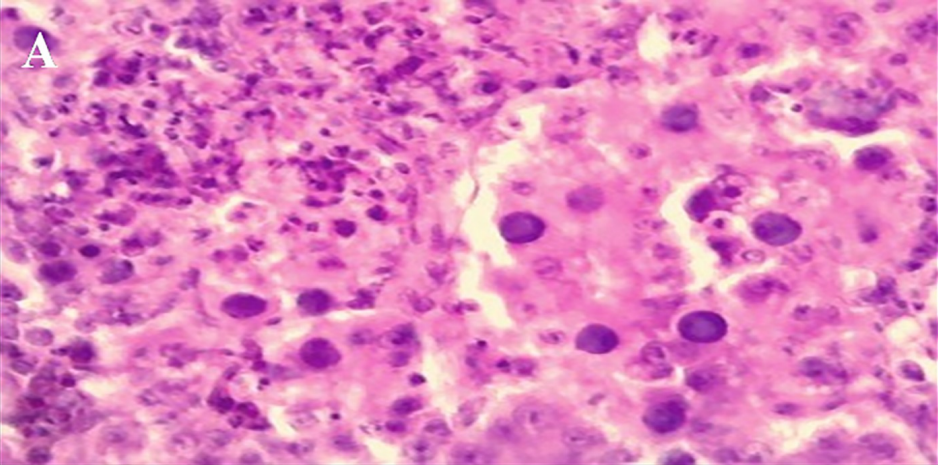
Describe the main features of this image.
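Liver in H&E, with hepatocytes in disordered cords separated by pale, widened sinusoidal spaces. On the left, the tissue is crowded with small, dark, fragmented nuclear particles among pale pink material, and cell outlines are lost. The remaining hepatocytes have pink, finely granular cytoplasm.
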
